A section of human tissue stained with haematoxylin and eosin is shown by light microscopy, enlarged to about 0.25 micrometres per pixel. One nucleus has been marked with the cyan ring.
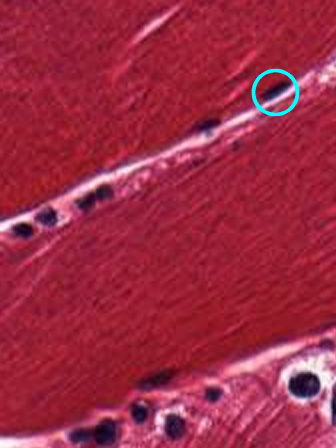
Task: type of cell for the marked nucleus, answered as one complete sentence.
The marked nucleus is located in a skeletal muscle fibre.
